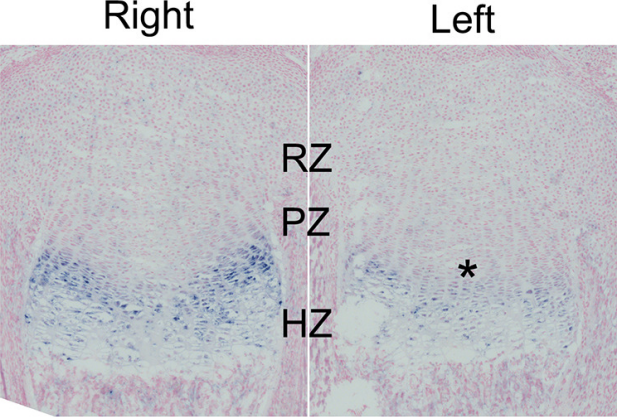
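The growth plate cartilage of the end of a long bone is shown on two sides side by side. At the top, small round chondrocytes lie scattered in a pale matrix. Below, flattened chondrocytes are stacked in columns running down the plate. Further down, the cells become enlarged and swollen with clear cytoplasm, forming a broad band of hypertrophic cartilage. Dark blue-purple staining lies in a band where the columnar cells enlarge, at the top of the hypertrophic band. On the right-hand image this band is faint and patchy compared with the left-hand image.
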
